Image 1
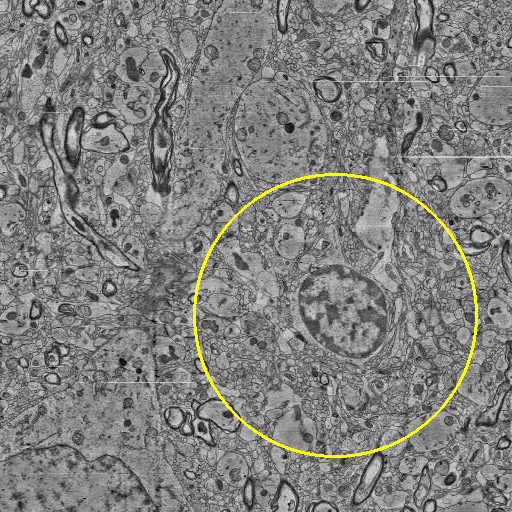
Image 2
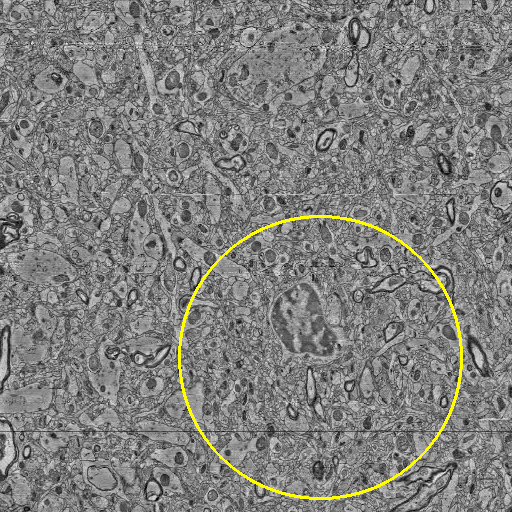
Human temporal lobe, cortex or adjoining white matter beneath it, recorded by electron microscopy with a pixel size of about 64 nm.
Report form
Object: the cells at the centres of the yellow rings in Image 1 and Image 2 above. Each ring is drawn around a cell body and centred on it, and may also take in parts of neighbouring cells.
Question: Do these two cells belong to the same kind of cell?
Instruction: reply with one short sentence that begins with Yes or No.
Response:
Yes, both belong to the same kind of cell.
